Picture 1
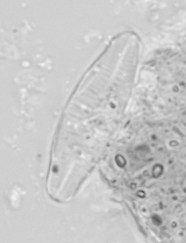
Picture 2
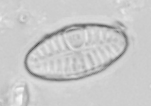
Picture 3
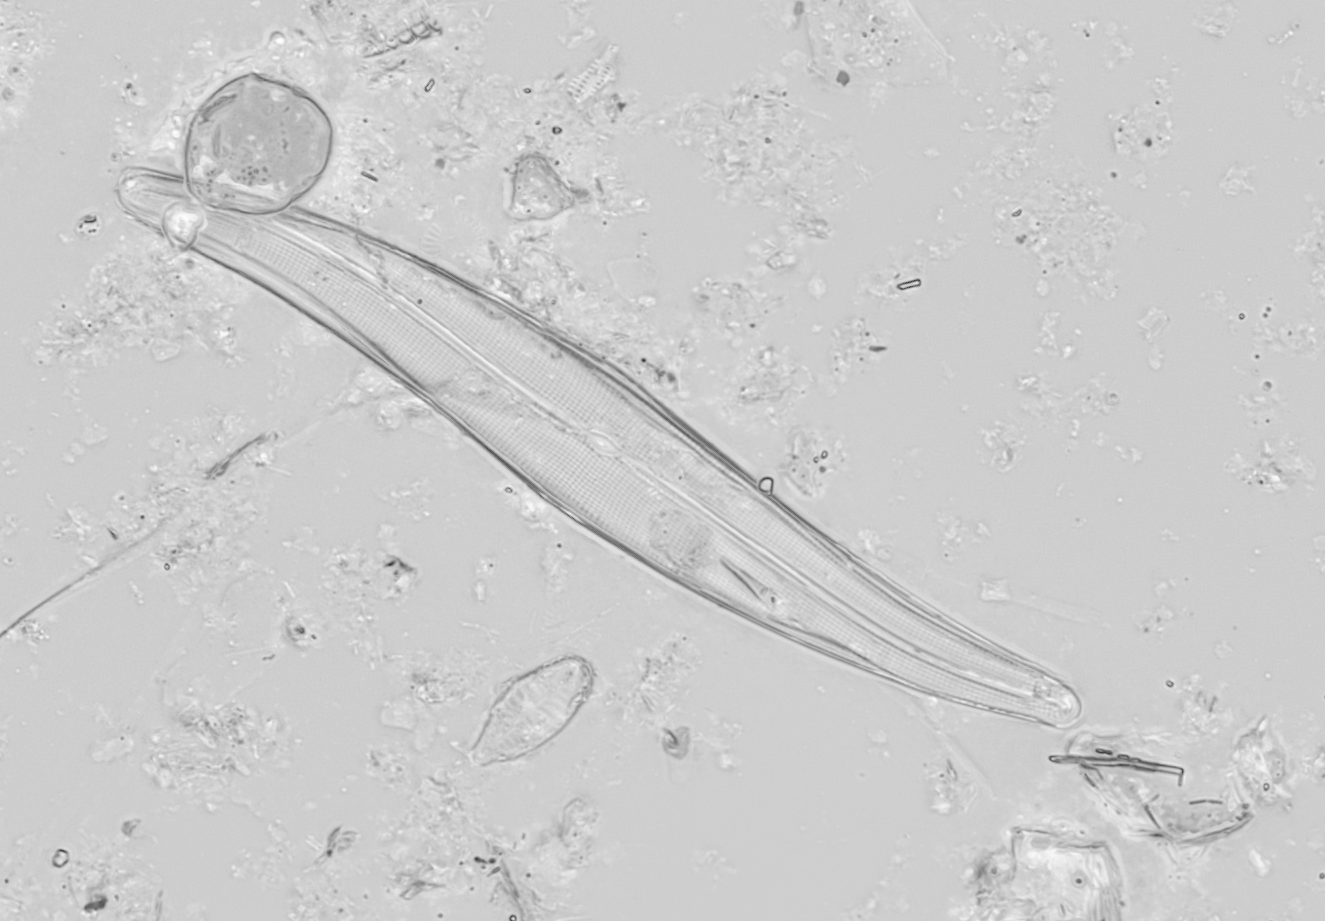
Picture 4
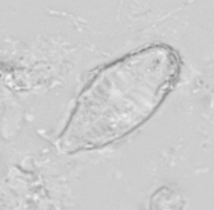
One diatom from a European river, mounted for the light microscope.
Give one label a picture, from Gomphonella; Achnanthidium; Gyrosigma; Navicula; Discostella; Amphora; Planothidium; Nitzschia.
Picture 1: Achnanthidium
Picture 2: Planothidium
Picture 3: Gyrosigma
Picture 4: Gomphonella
